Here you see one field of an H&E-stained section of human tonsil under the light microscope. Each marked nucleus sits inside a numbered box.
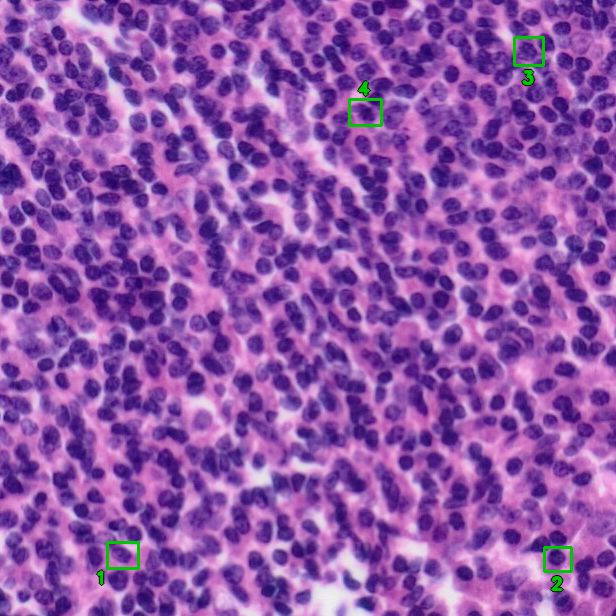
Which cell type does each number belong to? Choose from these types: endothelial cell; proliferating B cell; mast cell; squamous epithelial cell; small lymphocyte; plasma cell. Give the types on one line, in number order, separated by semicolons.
small lymphocyte; plasma cell; small lymphocyte; small lymphocyte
